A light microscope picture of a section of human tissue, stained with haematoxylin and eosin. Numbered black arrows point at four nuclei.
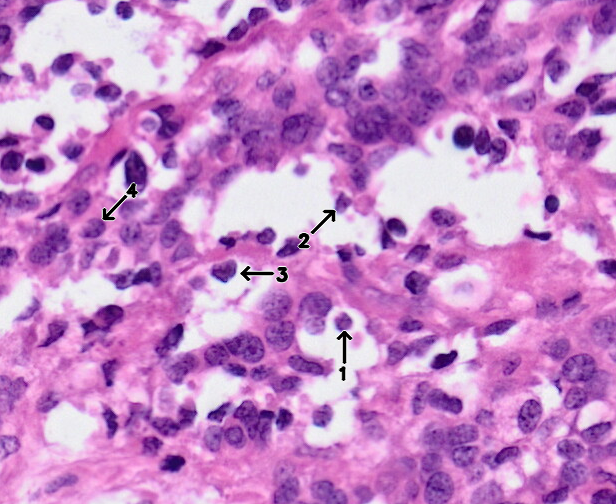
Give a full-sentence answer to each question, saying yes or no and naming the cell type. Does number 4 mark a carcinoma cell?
No, the cell carrying number 4 is a macrophage or monocyte, not a carcinoma cell.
